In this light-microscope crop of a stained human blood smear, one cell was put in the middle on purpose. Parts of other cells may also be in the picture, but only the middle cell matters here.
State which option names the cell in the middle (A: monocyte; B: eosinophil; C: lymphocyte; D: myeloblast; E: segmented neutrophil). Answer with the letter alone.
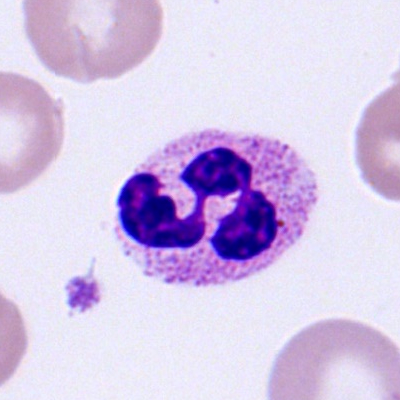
E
